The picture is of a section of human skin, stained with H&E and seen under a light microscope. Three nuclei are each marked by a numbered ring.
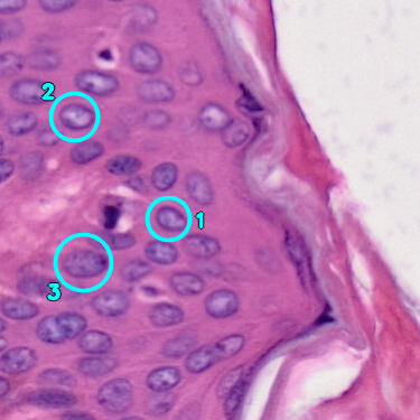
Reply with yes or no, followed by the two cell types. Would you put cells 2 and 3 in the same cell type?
No, cell 2 is a suprabasal keratinocyte, and in contrast cell 3 is a basal keratinocyte.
